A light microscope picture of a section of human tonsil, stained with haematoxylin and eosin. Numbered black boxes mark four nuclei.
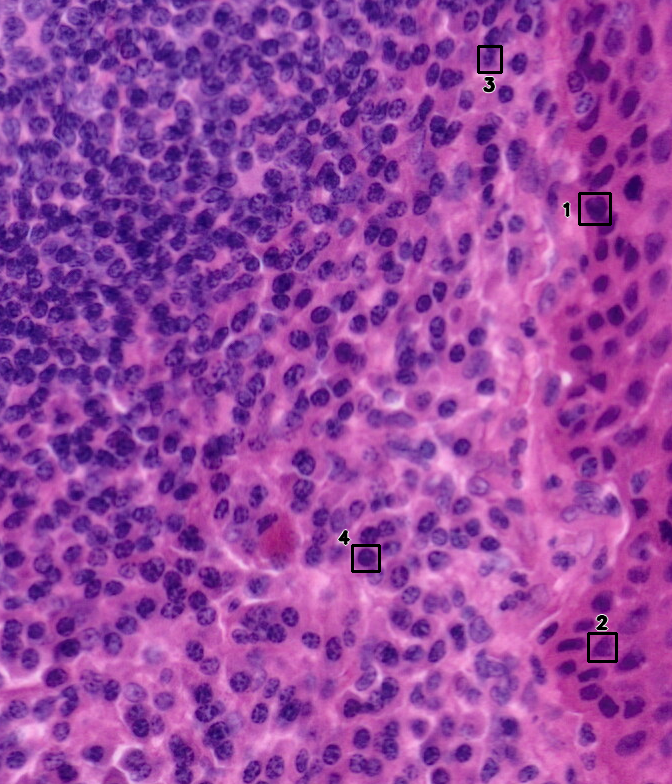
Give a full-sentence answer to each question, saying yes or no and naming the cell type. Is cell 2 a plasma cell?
No, cell 2 is a squamous epithelial cell, not a plasma cell.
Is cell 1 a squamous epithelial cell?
Yes, exactly, the cell numbered 1 is a squamous epithelial cell.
